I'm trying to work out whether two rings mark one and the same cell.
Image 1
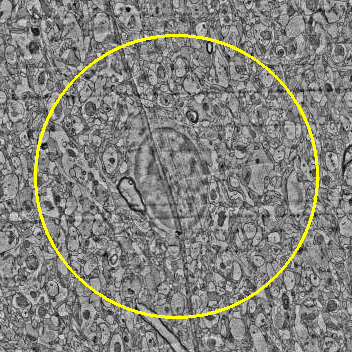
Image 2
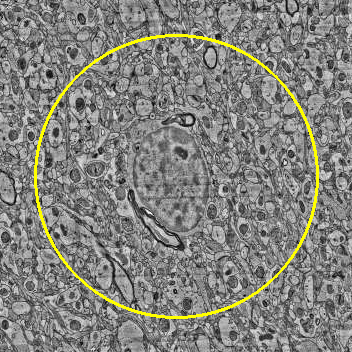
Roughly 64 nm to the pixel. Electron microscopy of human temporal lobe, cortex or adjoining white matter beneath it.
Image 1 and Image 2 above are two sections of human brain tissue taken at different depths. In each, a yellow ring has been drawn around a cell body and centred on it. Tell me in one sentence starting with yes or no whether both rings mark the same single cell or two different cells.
Yes, a single cell is the subject of both yellow rings.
